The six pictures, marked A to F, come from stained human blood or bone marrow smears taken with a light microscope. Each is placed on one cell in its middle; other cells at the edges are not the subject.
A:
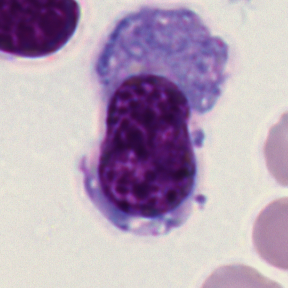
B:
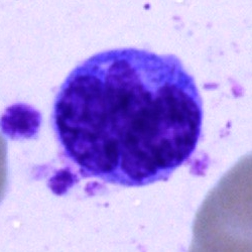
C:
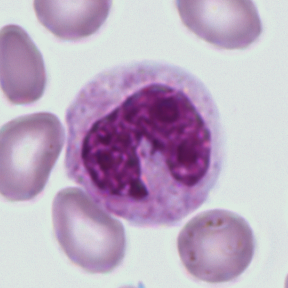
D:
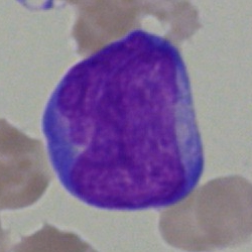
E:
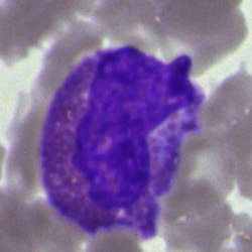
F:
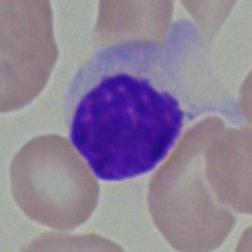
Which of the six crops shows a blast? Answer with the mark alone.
D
